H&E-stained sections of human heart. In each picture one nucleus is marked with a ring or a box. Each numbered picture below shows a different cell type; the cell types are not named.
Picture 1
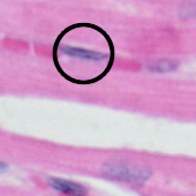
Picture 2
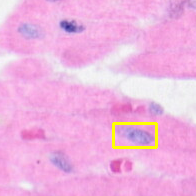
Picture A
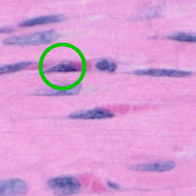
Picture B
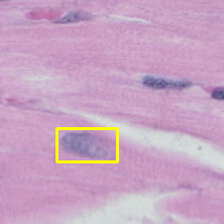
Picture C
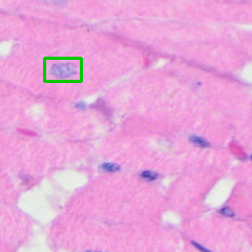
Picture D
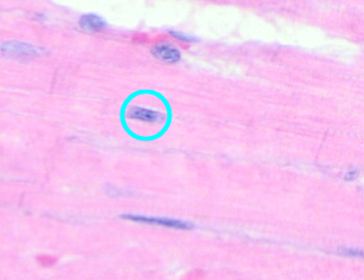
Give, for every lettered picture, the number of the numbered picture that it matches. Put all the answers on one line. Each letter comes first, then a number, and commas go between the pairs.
A 1, B 2, C 2, D 1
